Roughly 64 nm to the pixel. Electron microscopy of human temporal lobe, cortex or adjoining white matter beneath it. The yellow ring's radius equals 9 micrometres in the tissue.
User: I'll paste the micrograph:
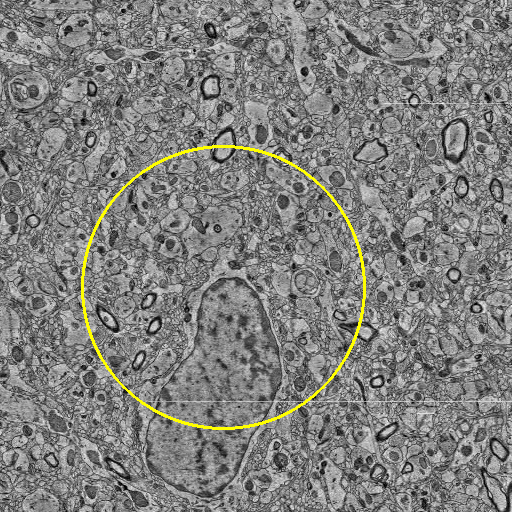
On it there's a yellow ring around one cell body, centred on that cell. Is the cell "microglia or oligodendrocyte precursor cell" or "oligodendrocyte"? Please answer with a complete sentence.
The cell ringed in yellow is a microglial cell or oligodendrocyte precursor cell.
